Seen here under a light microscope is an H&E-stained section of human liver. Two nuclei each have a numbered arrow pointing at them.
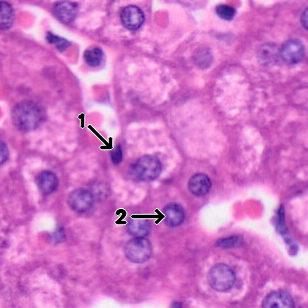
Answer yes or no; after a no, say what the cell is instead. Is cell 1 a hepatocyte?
No, it is a fibroblast or stellate cell.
